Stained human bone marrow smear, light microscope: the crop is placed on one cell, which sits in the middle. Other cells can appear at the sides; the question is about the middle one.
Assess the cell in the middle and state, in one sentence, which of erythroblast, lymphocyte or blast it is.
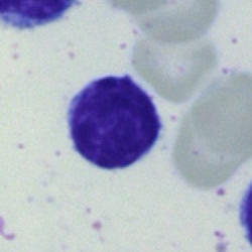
The cell in the exact centre of the crop is a lymphocyte.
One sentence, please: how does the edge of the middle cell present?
Its outline is smooth, with no projections anywhere along the edge.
